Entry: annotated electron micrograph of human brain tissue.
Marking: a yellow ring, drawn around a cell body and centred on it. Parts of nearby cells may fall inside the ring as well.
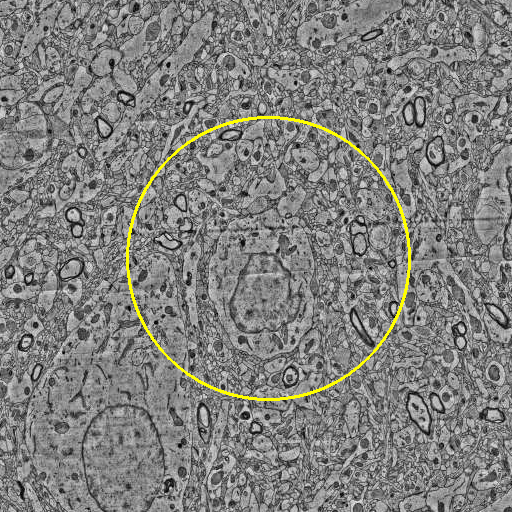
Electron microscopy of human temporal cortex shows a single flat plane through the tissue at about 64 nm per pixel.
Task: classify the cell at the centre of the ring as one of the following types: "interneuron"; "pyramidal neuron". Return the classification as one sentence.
The marked cell is classified as an interneuron.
